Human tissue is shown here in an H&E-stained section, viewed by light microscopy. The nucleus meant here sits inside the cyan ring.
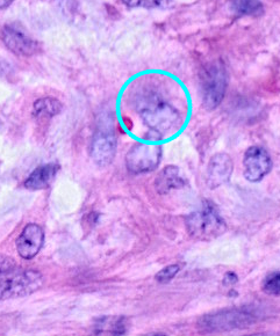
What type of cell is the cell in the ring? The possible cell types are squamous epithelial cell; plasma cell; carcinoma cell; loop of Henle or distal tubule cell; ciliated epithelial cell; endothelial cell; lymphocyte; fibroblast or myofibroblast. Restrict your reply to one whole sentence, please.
In the context of this tissue, the cell in the ring is an endothelial cell.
